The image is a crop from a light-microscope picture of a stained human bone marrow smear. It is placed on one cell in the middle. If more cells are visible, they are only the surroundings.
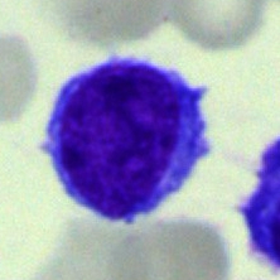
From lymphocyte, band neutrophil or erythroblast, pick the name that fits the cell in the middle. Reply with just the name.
lymphocyte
